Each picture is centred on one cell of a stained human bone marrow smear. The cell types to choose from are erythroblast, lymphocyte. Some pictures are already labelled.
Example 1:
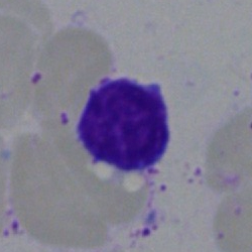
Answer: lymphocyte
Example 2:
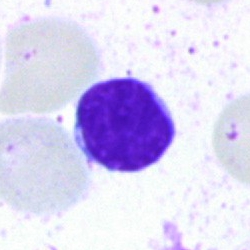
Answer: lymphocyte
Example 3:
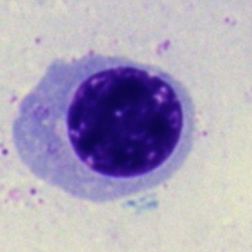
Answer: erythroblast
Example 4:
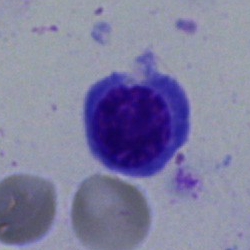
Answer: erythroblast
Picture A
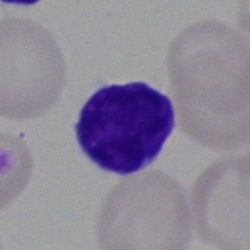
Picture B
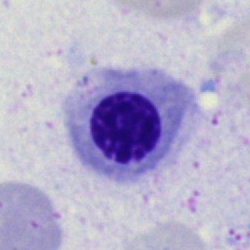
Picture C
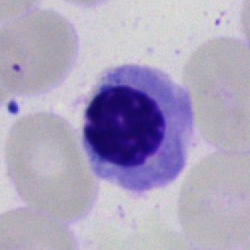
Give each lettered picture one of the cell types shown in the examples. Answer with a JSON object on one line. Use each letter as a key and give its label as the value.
{"A": "lymphocyte", "B": "erythroblast", "C": "erythroblast"}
